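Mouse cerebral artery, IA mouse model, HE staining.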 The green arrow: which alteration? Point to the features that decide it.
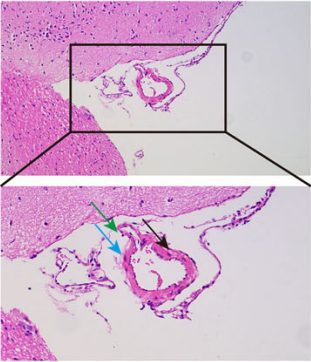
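Small dark purple nuclei cluster in the outer wall of the artery where the green arrow points. The vessel wall is thickened and irregular compared with a smooth ring.
Hence: infiltration of inflammatory cells.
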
